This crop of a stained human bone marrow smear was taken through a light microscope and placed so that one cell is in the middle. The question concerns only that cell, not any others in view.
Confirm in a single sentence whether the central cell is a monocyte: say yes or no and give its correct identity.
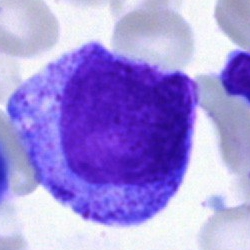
No, the centrally placed cell is a promyelocyte, not a monocyte.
